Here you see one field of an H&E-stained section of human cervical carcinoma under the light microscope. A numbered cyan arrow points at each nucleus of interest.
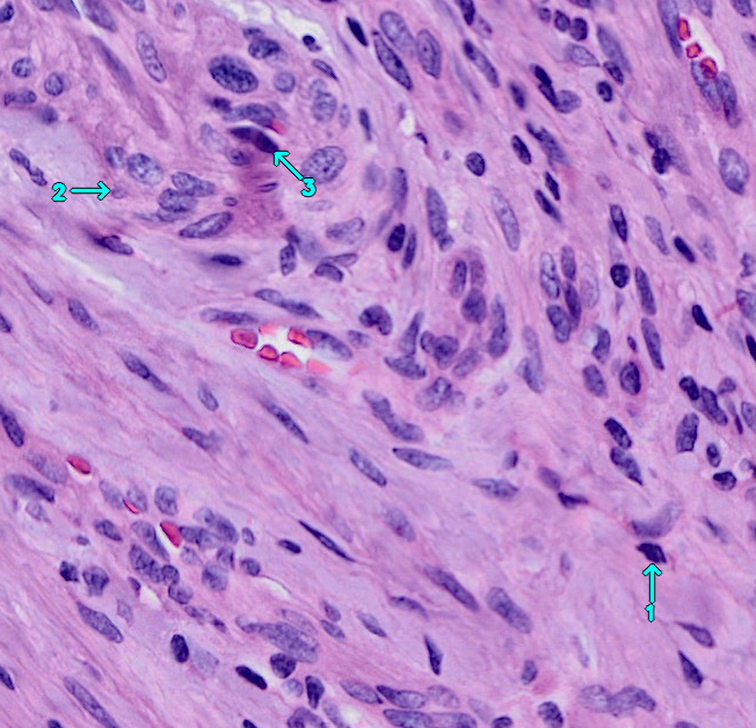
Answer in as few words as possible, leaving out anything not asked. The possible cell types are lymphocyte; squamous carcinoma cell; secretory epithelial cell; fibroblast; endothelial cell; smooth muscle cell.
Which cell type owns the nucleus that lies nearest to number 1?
endothelial cell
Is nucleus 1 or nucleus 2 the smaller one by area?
2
